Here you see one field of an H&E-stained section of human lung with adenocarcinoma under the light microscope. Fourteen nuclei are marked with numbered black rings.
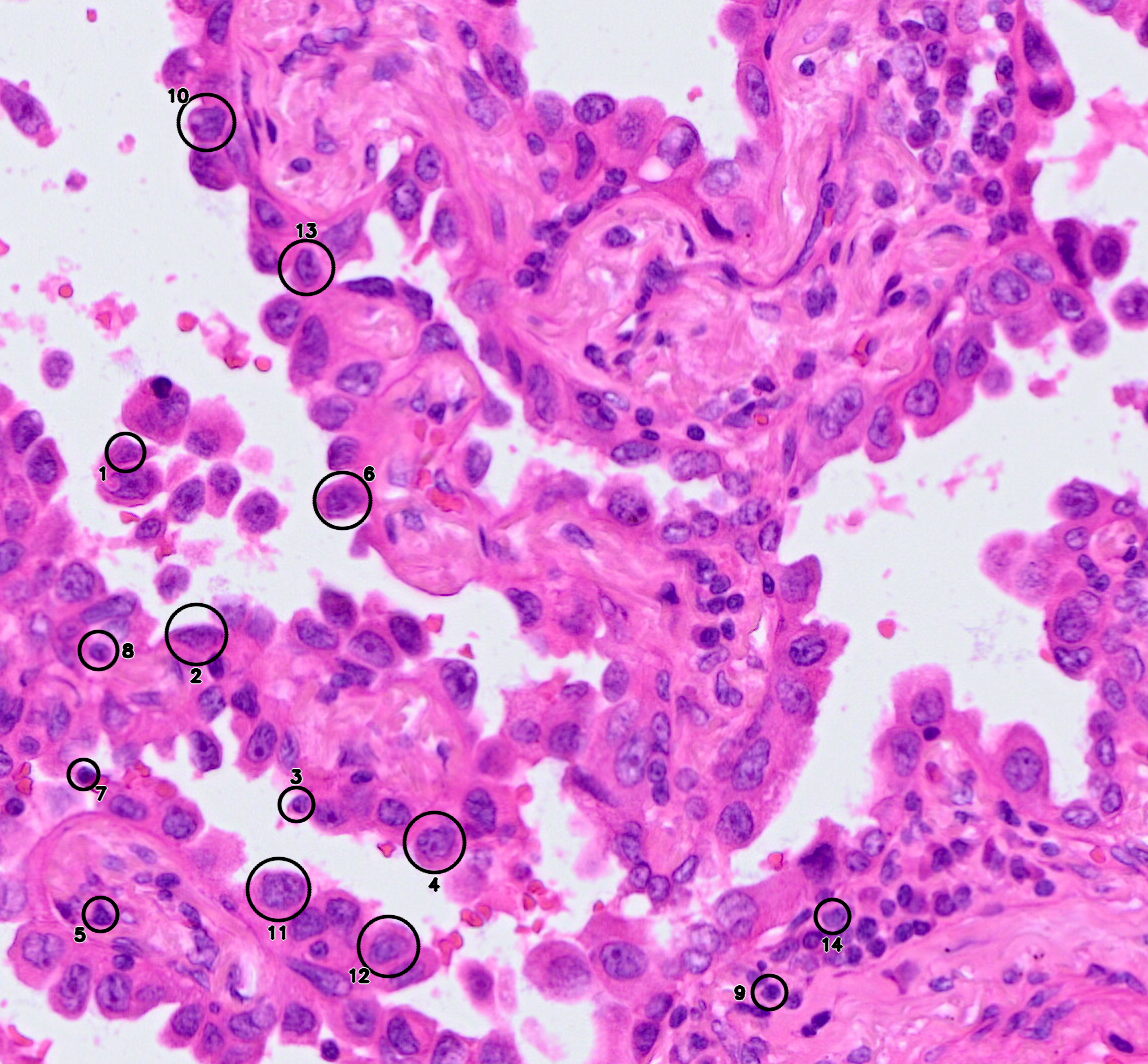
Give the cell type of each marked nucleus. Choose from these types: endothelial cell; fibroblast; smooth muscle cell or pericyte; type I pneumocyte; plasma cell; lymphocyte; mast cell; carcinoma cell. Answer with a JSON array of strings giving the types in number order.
["carcinoma cell", "carcinoma cell", "lymphocyte", "carcinoma cell", "plasma cell", "carcinoma cell", "lymphocyte", "lymphocyte", "lymphocyte", "carcinoma cell", "carcinoma cell", "carcinoma cell", "carcinoma cell", "lymphocyte"]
